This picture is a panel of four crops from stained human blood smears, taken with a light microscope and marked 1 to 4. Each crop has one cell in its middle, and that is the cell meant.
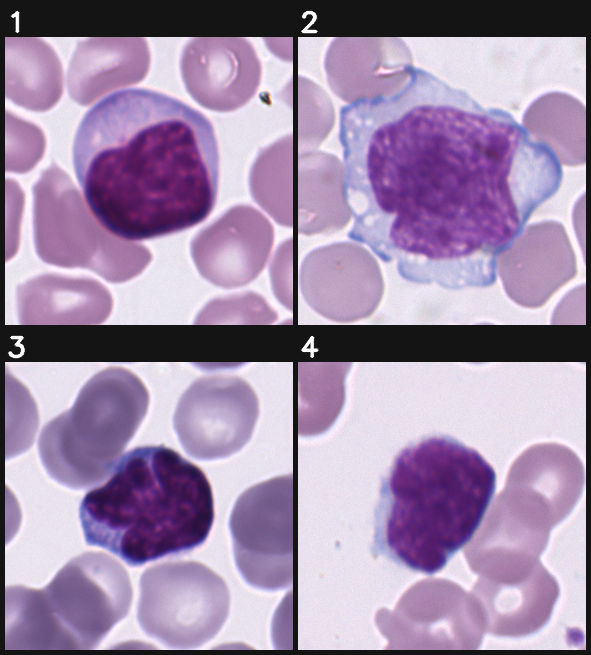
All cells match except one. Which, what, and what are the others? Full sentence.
Of these crops, only crop 2 is a myeloblast; the others are typical lymphocytes.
